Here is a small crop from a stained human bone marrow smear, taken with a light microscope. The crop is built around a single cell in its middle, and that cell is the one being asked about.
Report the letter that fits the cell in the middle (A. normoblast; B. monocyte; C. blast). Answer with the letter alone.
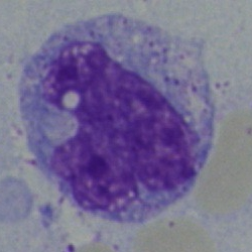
B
